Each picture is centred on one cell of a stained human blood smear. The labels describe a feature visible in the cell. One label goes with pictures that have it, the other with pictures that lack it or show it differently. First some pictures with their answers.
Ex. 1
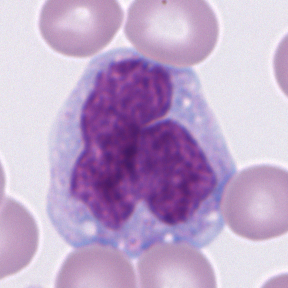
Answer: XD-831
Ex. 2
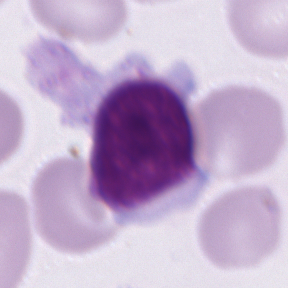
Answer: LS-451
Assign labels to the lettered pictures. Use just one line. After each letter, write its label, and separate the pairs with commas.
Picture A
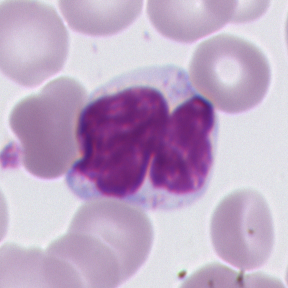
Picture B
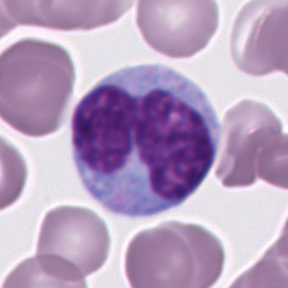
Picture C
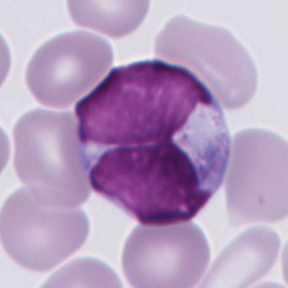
A XD-831, B XD-831, C XD-831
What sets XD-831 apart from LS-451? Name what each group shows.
In XD-831: lobed nucleus. In LS-451: single compact nucleus.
